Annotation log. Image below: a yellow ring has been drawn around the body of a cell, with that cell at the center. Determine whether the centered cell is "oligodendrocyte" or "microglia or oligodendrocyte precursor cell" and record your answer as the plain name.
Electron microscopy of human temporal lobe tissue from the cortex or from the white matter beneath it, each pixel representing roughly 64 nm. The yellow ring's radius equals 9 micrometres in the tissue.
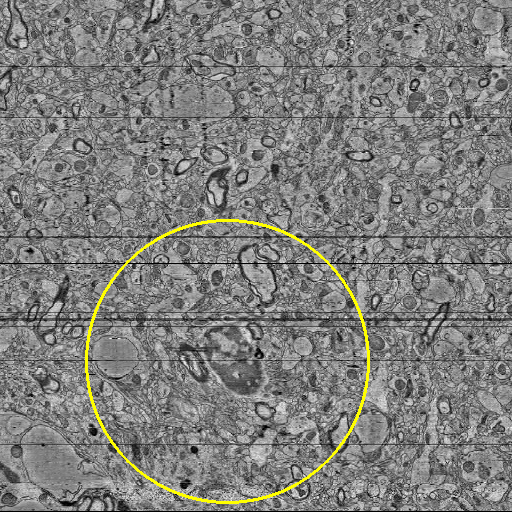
microglia or oligodendrocyte precursor cell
